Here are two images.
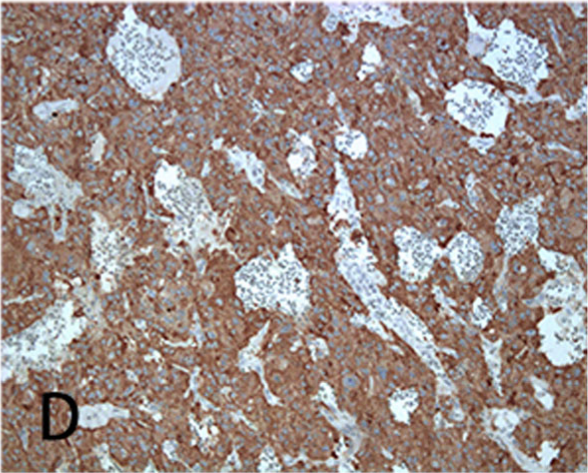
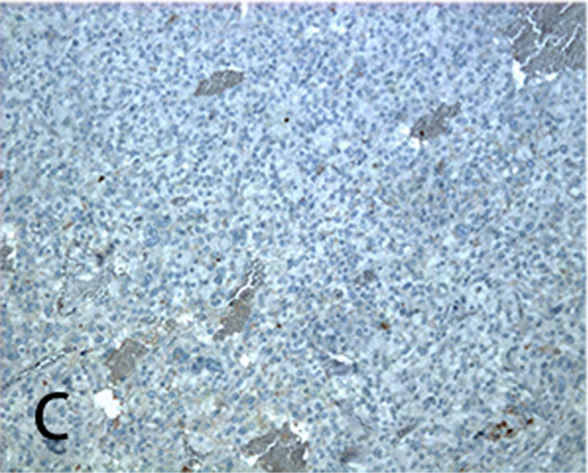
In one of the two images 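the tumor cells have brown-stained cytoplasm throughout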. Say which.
The first image.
